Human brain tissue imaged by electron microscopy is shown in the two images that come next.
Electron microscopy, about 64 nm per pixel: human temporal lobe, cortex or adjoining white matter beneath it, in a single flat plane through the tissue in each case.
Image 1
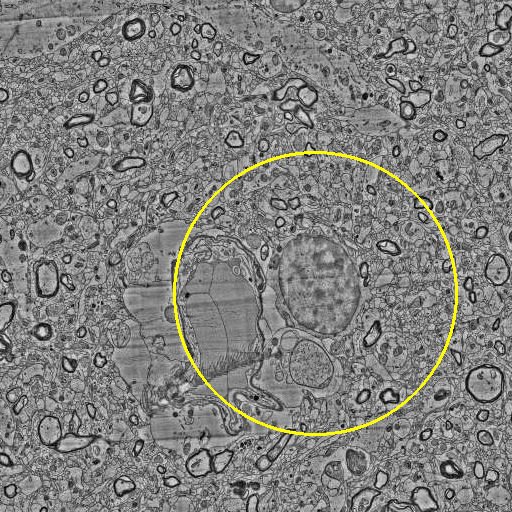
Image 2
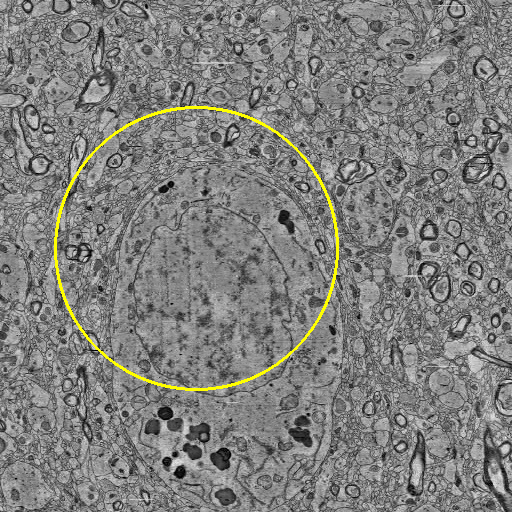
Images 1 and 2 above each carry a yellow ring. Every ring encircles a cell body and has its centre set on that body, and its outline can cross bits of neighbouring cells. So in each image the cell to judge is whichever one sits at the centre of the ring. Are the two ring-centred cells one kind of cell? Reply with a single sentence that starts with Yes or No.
No, in Image 1 and Image 2 the cells at the centres of their rings fall into two types.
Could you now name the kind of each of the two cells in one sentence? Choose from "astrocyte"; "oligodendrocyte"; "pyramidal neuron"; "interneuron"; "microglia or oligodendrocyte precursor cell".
The first ring encloses an oligodendrocyte; the second ring encloses a pyramidal neuron.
